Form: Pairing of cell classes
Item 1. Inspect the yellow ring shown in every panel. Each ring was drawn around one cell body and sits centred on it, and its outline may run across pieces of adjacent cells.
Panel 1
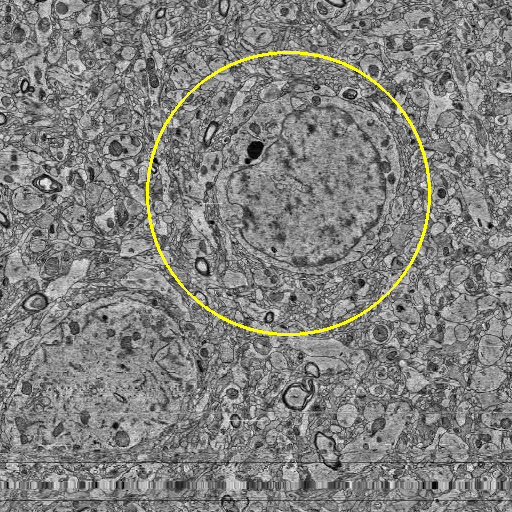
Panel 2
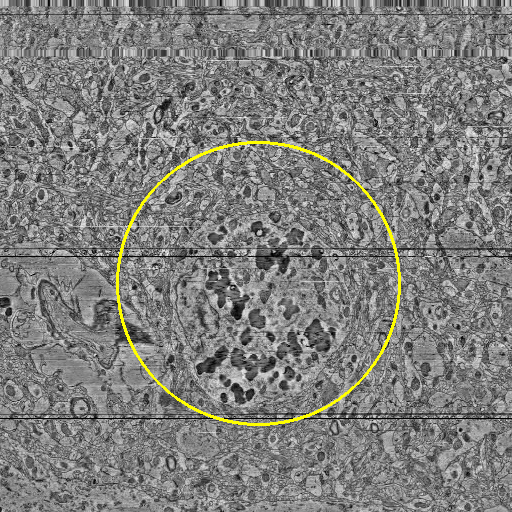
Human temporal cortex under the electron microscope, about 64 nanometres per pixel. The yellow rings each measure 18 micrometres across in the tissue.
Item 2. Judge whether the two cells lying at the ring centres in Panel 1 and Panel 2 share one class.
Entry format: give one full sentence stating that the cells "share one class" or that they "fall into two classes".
The cells at the ring centres in Panel 1 and Panel 2 share one class.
